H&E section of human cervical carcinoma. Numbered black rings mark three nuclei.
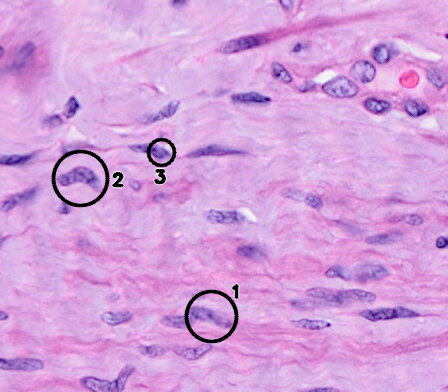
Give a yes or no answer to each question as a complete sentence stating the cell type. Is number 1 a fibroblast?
No, cell 1 is not a fibroblast: it is a smooth muscle cell.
